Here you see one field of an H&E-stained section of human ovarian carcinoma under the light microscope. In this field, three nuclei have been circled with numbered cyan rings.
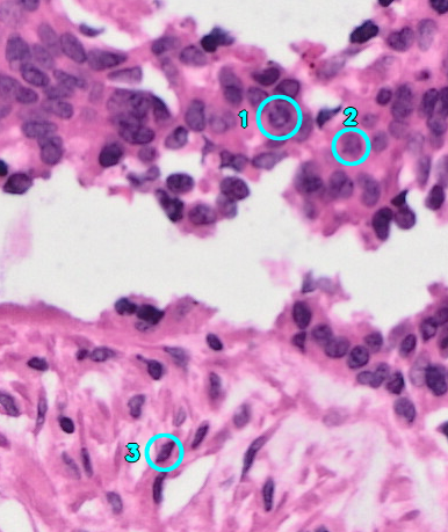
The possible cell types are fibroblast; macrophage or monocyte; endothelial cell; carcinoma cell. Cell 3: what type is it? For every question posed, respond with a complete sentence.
The cell identified by the number 3 is a fibroblast.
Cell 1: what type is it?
The cell pointed out as number 1 is a carcinoma cell.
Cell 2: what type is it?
Numbered cell 2 is a carcinoma cell in this tissue section.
